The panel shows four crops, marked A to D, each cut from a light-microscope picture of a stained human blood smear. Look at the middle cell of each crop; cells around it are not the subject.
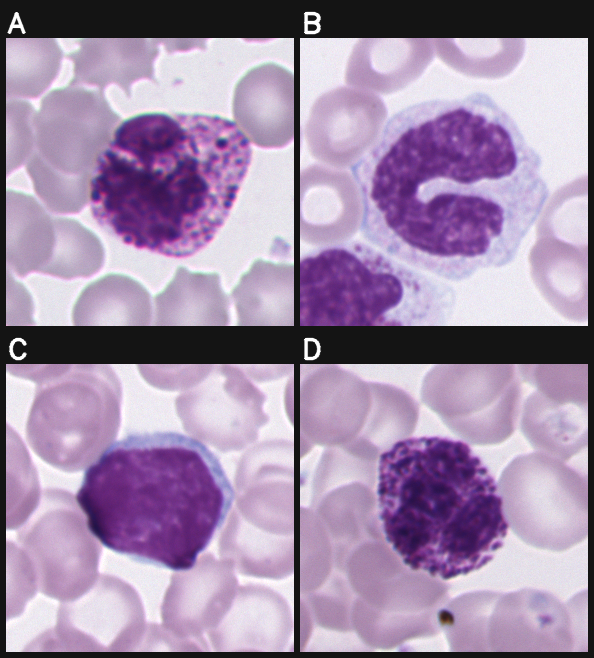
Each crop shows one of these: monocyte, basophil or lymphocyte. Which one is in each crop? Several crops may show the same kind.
A: basophil
B: monocyte
C: lymphocyte
D: basophil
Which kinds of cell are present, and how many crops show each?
basophil: 2
monocyte: 1
lymphocyte: 1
